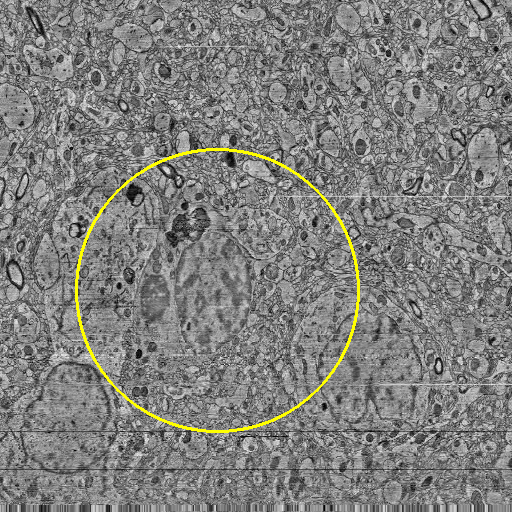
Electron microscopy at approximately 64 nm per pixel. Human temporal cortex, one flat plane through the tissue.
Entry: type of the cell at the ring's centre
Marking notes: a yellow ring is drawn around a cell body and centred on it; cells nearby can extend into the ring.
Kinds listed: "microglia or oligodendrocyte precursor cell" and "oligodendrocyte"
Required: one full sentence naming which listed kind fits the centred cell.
My entry names an oligodendrocyte as the cell whose body the yellow ring centres on.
